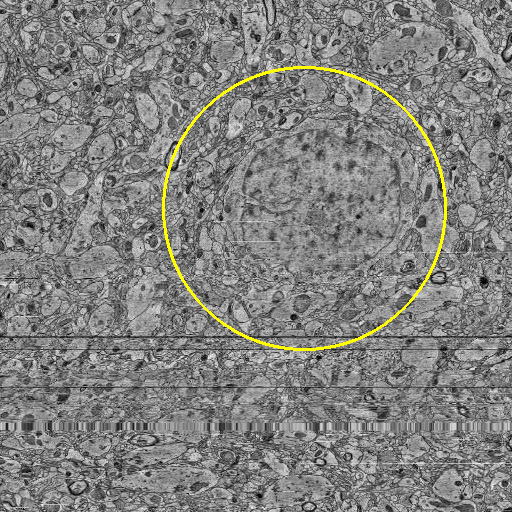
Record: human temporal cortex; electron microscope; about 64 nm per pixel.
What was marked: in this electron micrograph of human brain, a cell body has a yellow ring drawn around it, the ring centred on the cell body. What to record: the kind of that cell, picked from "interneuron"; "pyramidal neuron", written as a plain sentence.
The centred cell is an interneuron.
